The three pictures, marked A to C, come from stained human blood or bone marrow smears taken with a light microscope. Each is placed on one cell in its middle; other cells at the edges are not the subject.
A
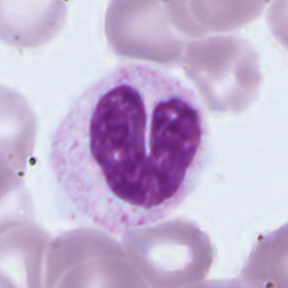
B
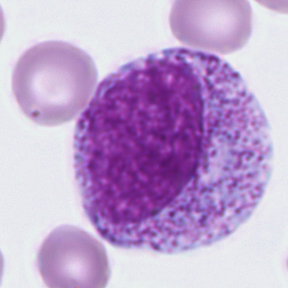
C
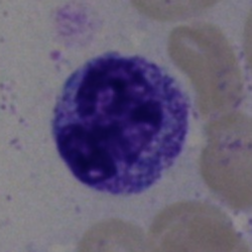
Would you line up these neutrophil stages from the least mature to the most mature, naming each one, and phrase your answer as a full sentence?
The series, from least to most mature, is crop B (a promyelocyte), crop C (a metamyelocyte) and crop A (a band neutrophil).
